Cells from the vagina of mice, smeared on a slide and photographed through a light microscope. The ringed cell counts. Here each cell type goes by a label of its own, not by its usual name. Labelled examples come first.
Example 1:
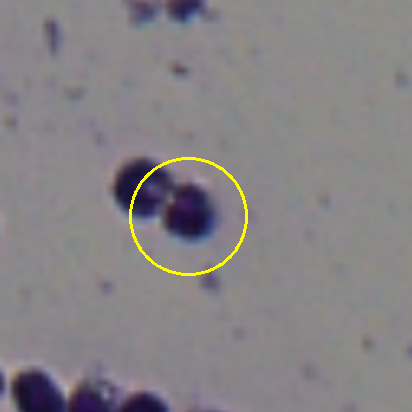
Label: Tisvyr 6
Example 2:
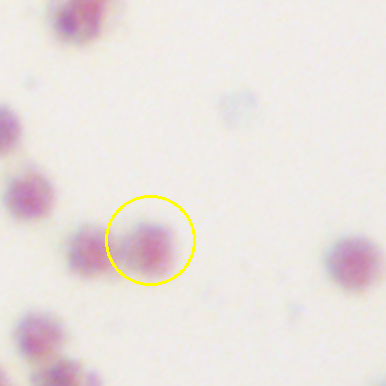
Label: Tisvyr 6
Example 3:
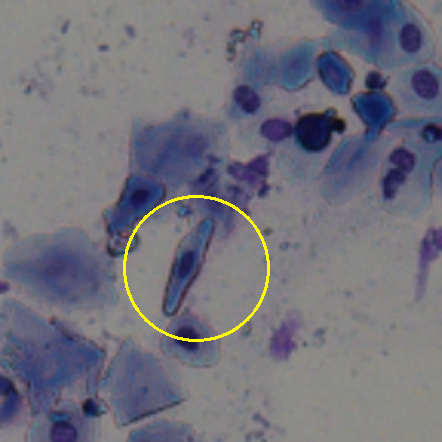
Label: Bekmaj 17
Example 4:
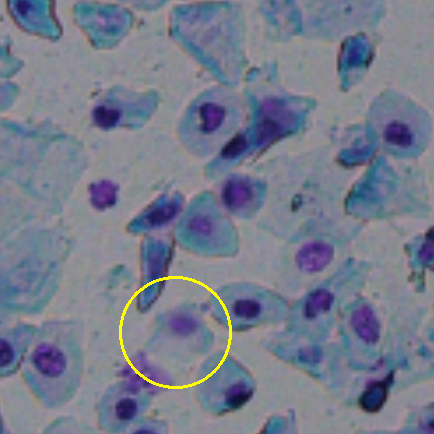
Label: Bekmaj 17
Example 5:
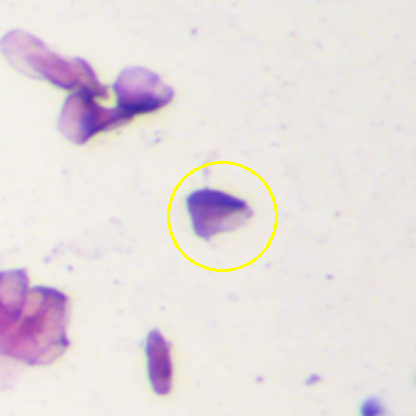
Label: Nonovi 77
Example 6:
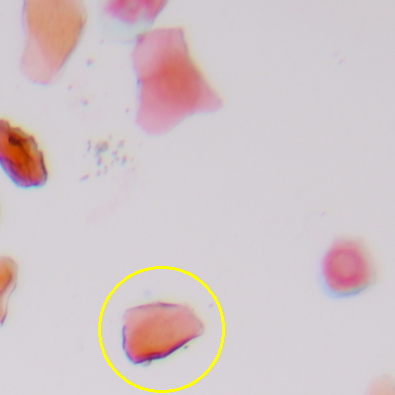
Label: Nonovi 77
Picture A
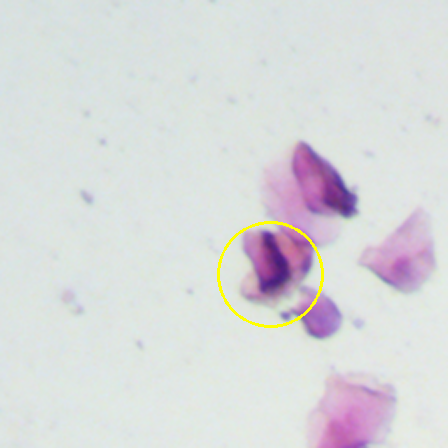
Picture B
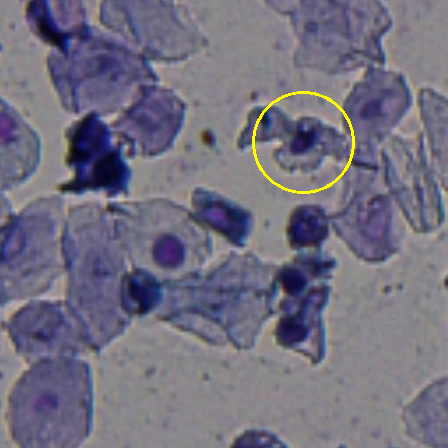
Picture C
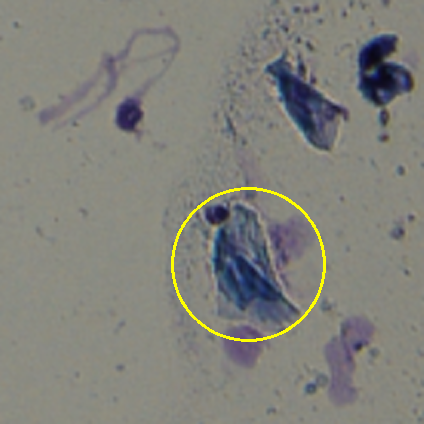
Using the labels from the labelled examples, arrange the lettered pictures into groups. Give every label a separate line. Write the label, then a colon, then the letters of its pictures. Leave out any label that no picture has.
Bekmaj 17: B
Nonovi 77: A, C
